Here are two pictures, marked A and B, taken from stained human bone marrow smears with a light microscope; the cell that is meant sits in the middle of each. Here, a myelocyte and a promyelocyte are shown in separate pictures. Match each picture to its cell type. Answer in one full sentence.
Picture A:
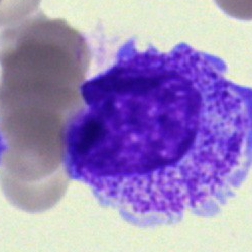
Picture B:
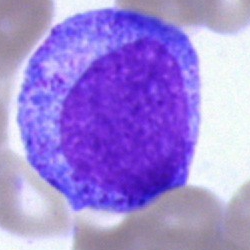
Picture B shows a promyelocyte, while picture A shows a myelocyte.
